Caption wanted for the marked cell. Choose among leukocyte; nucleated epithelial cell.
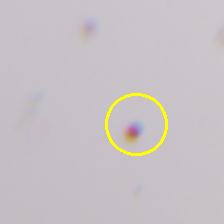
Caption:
Ringed in yellow is a leukocyte.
